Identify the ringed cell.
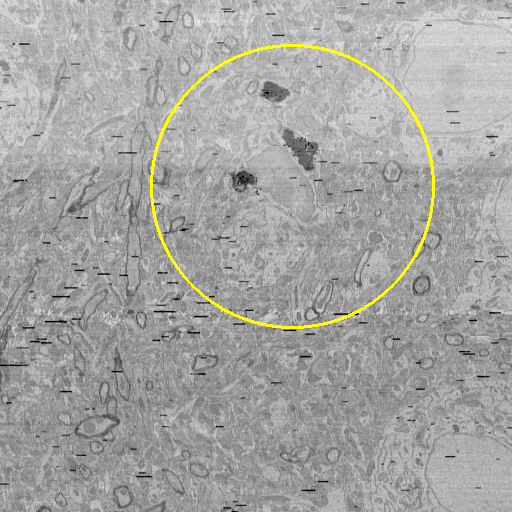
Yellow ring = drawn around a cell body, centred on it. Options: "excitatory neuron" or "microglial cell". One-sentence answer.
What the ring is centred on is a microglial cell.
